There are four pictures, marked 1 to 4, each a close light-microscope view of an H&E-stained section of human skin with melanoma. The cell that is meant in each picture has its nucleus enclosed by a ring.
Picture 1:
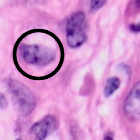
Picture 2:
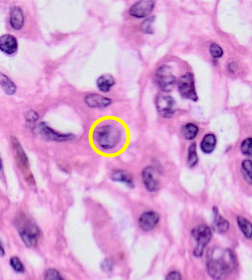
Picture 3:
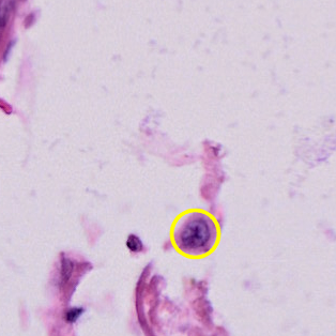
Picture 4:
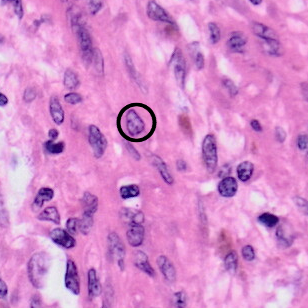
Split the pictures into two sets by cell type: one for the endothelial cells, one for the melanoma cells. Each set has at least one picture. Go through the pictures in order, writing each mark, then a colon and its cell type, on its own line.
1: endothelial cell
2: endothelial cell
3: melanoma cell
4: endothelial cell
